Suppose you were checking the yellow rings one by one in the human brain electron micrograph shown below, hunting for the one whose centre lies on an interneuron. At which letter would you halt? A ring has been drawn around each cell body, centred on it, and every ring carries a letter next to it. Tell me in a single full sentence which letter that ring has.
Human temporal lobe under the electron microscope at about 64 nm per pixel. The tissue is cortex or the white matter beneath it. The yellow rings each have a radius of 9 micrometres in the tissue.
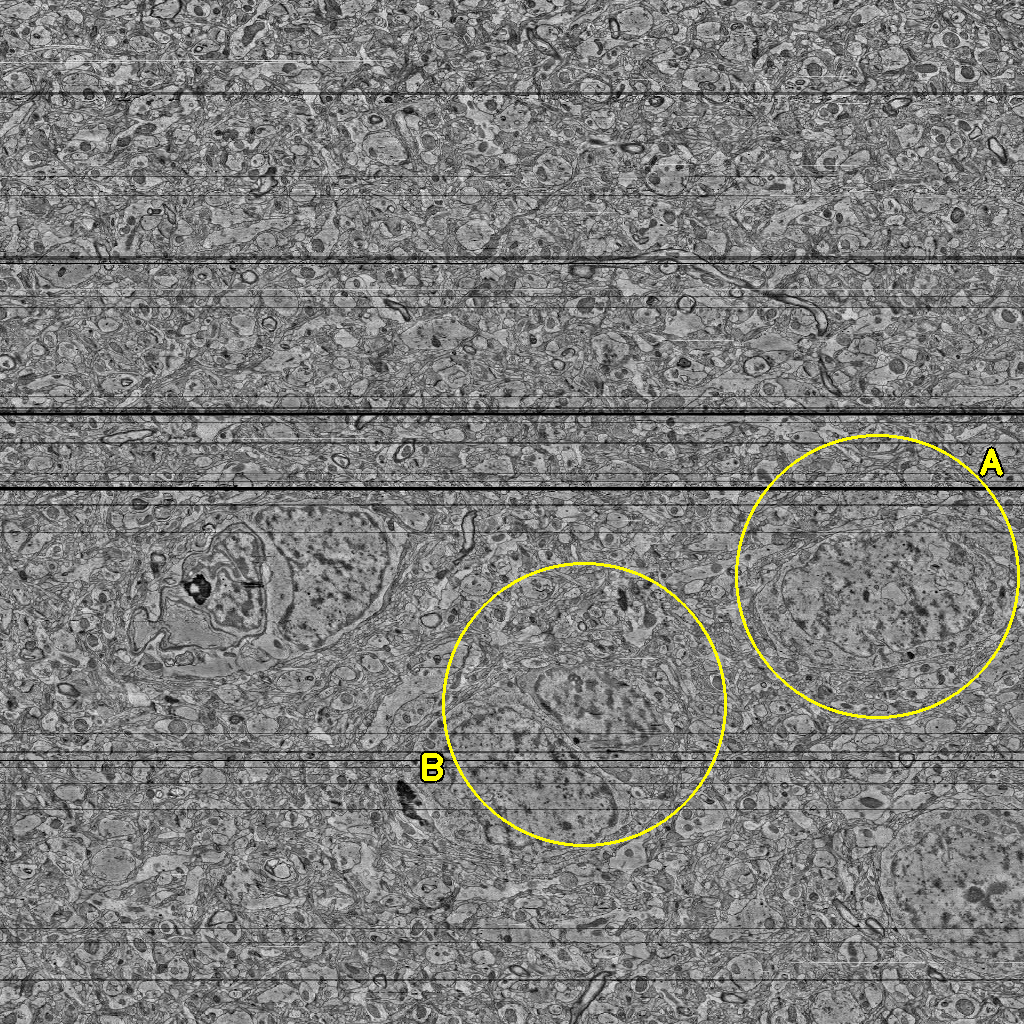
Going through the rings, I would stop at ring A, the one centred on the cell asked for.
